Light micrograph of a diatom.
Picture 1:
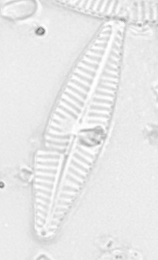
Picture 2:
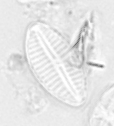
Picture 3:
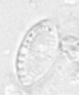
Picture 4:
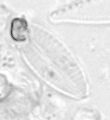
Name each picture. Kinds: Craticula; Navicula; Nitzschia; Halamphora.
1. Navicula
2. Craticula
3. Nitzschia
4. Craticula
